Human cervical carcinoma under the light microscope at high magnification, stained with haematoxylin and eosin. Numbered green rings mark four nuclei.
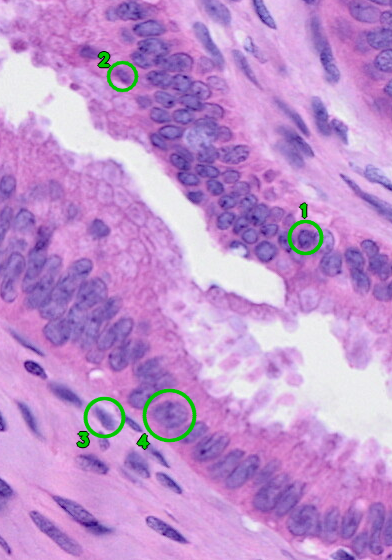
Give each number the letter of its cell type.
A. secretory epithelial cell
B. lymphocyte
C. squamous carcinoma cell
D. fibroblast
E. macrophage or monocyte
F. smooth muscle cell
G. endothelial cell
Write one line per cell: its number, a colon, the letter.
1: A
2: A
3: D
4: A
